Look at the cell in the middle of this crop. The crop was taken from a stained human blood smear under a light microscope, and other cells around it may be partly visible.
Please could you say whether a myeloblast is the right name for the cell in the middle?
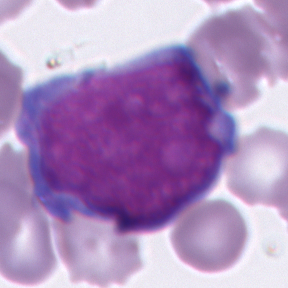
yes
